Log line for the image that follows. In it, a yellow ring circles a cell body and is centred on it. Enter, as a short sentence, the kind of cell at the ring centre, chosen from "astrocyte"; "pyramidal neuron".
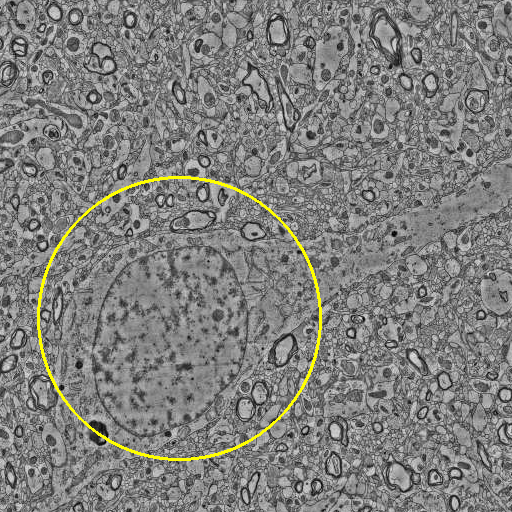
The ring centre is occupied by a pyramidal neuron.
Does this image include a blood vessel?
No.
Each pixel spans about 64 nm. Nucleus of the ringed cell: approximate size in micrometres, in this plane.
In this plane, the nucleus is roughly 13 by 10 micrometres.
